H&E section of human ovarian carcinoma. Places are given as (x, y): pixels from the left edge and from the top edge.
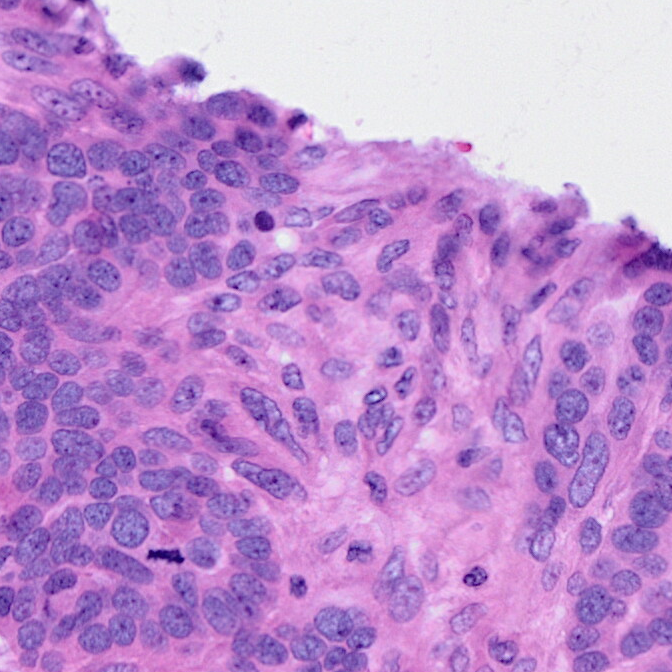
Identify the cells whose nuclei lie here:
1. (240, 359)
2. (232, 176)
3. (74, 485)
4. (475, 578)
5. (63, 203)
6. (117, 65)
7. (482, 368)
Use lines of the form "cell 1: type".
cell 1: fibroblast
cell 2: carcinoma cell
cell 3: carcinoma cell
cell 4: lymphocyte
cell 5: carcinoma cell
cell 6: macrophage or monocyte
cell 7: fibroblast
